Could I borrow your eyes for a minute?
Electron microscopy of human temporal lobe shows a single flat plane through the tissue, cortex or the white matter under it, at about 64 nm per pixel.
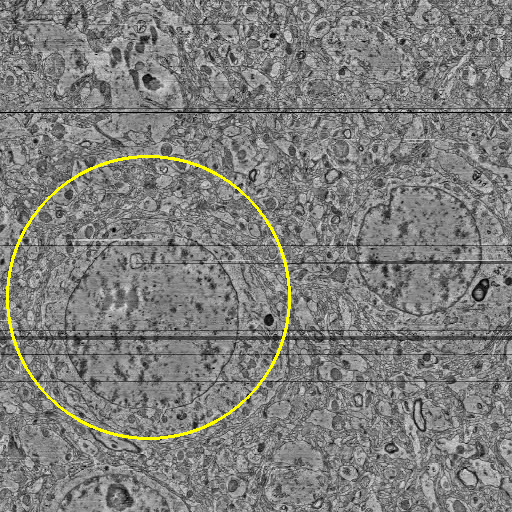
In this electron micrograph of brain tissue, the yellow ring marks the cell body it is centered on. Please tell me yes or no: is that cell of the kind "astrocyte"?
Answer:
no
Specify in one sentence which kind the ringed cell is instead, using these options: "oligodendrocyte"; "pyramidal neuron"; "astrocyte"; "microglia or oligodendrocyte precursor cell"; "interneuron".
The cell circled by the yellow ring is a pyramidal neuron.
